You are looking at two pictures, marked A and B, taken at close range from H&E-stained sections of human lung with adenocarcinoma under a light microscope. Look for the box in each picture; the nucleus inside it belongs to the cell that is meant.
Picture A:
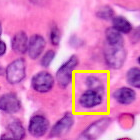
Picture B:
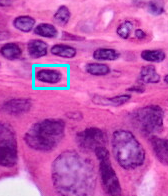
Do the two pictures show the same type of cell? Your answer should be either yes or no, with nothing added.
yes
